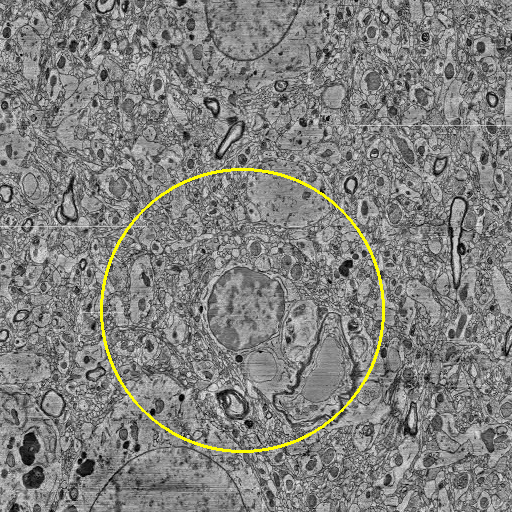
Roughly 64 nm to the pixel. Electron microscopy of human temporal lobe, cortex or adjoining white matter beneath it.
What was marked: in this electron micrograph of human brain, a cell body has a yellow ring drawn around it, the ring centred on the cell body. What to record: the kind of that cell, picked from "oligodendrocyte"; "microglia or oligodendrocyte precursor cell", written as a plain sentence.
The centred cell is a microglial cell or oligodendrocyte precursor cell.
